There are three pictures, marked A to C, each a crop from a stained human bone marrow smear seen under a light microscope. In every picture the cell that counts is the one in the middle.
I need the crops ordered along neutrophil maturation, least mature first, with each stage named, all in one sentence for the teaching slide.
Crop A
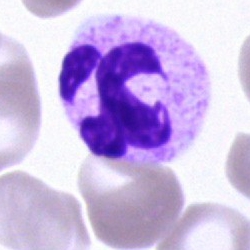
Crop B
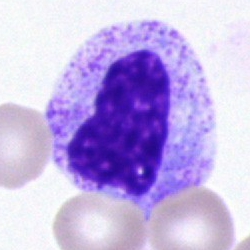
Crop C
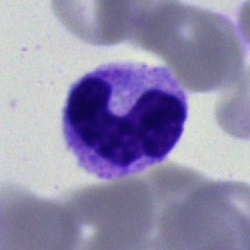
In rising order of maturity, the crops are crop B (a metamyelocyte), crop C (a band neutrophil) and crop A (a segmented neutrophil).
